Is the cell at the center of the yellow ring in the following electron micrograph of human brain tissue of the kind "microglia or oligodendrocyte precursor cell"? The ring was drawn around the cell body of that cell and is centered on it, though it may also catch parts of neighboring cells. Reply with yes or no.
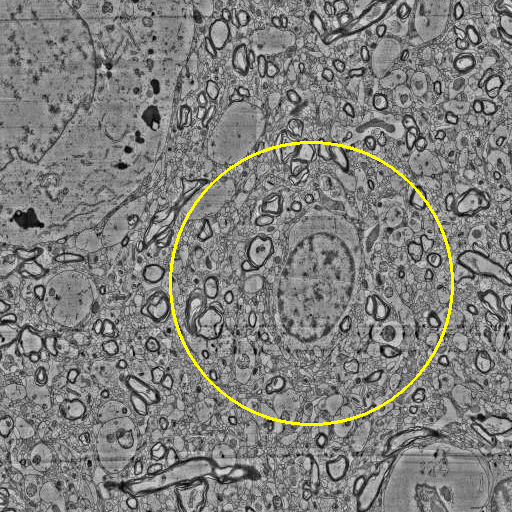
Yes, that is its kind.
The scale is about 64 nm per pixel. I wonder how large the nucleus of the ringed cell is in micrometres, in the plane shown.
Approximately 7 by 5 micrometers in this plane.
